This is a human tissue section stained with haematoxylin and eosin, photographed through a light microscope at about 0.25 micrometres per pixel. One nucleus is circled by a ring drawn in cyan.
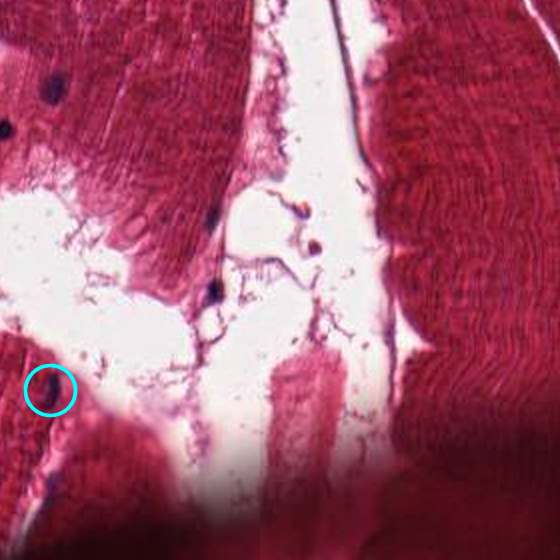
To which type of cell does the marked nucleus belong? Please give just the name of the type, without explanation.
skeletal muscle fibre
